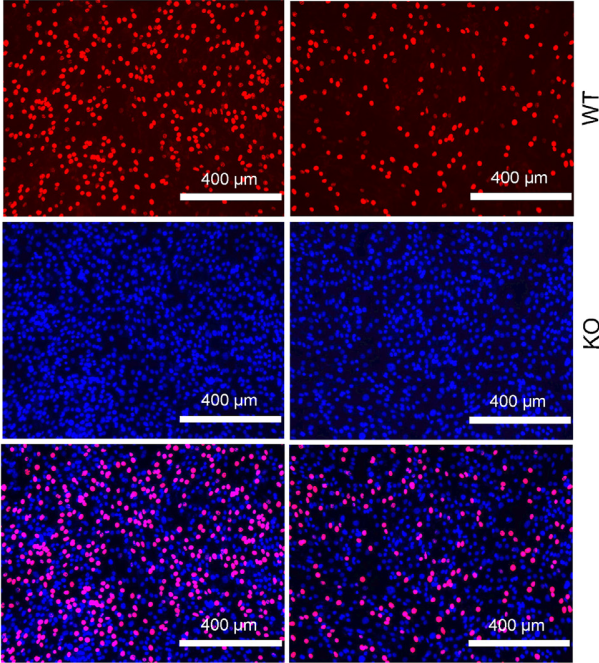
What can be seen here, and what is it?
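A dense monolayer of cultured cells is seen only through their nuclei, small round spots of even size scattered fairly evenly across each field. In the red row only a portion of the nuclei light up, as bright round spots of similar size. In the merged row these red nuclei appear pink where they overlie the blue, while the remaining nuclei stay plain blue.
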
